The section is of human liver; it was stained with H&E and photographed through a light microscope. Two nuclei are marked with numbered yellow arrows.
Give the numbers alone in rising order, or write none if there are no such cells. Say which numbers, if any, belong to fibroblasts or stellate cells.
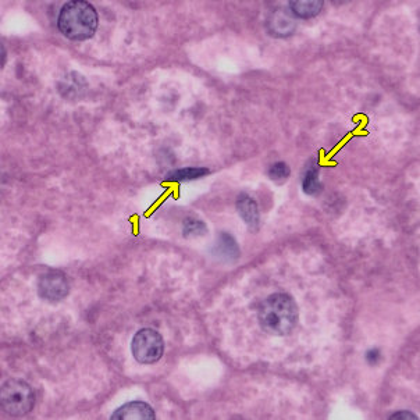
1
